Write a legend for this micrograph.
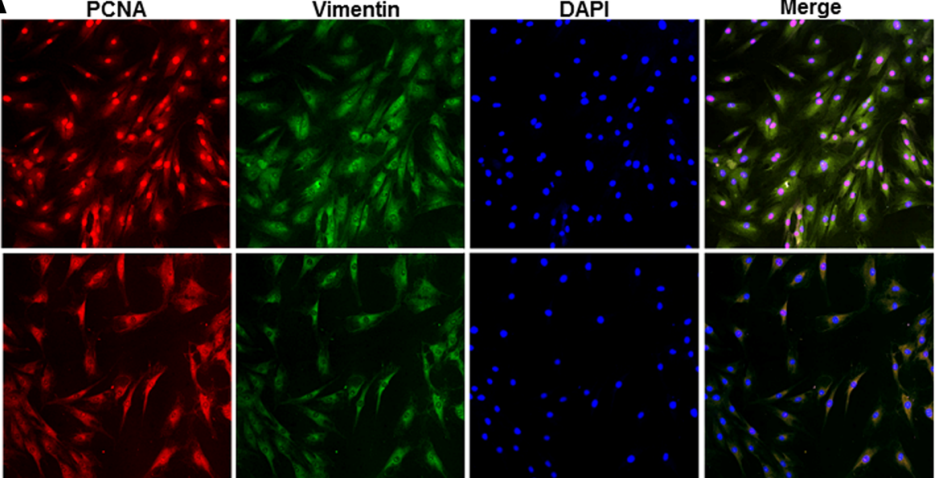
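Sparse cultured cells, mostly elongated and spindle-shaped with tapering processes, each holding a single oval nucleus stained blue. The green stain fills the cytoplasm and outlines the whole cell body. In the upper row the red stain is concentrated in the nuclei, which appear pink-magenta in the merged image, while in the lower row it spreads diffusely through the cytoplasm and the nuclei stay mostly blue in the merge.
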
